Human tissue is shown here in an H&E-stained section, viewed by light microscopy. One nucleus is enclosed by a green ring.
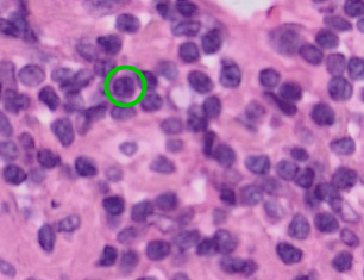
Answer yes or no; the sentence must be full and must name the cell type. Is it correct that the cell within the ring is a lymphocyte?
Yes, the cell within the ring is a lymphocyte by cell type.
